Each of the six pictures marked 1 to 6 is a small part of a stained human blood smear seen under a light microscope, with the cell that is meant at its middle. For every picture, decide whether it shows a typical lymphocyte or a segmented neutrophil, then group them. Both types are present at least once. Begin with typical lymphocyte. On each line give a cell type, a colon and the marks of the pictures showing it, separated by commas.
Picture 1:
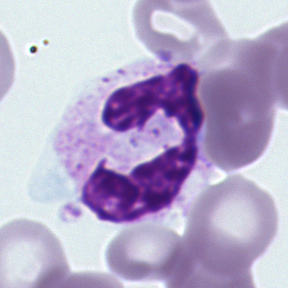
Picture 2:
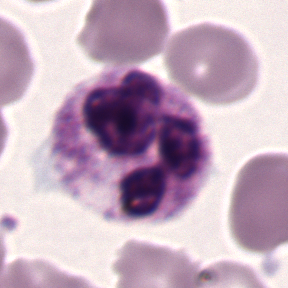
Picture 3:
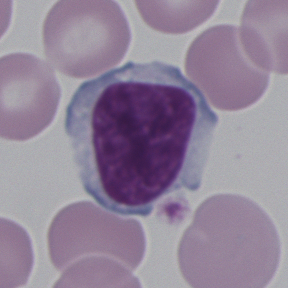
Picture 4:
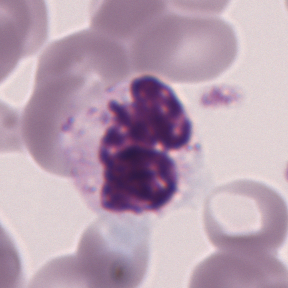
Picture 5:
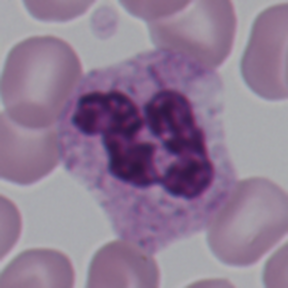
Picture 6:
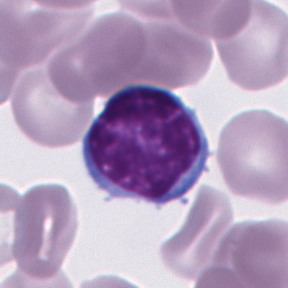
typical lymphocyte: 3, 6
segmented neutrophil: 1, 2, 4, 5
